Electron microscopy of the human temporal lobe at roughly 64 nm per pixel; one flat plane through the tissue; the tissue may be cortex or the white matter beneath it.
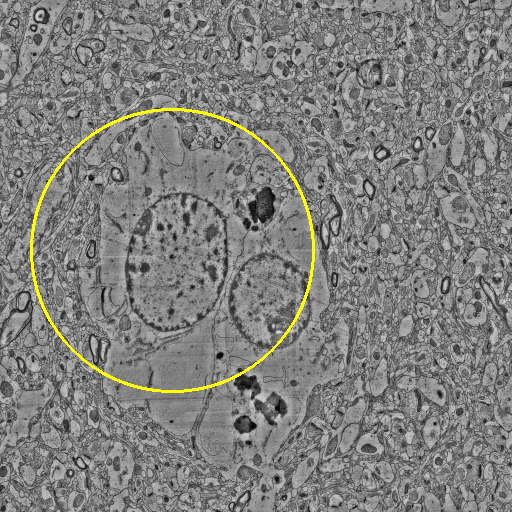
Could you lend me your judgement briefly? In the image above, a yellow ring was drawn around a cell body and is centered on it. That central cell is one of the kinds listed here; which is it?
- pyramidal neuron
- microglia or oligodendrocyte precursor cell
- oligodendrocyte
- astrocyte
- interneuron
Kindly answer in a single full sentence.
Going by the list, an astrocyte is the kind at the ring's center in the picture.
